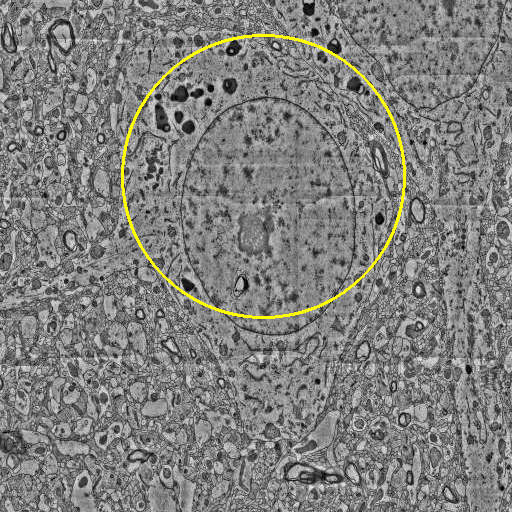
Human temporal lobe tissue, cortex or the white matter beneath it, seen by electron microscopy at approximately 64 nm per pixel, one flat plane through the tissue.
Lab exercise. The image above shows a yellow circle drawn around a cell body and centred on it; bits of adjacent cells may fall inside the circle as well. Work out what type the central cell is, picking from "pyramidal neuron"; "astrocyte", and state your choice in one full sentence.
In the image above, the cell at the centre of the yellow circle is a pyramidal neuron.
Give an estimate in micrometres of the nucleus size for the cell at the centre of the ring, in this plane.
The nucleus appears roughly 15 by 11 micrometres in this plane.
